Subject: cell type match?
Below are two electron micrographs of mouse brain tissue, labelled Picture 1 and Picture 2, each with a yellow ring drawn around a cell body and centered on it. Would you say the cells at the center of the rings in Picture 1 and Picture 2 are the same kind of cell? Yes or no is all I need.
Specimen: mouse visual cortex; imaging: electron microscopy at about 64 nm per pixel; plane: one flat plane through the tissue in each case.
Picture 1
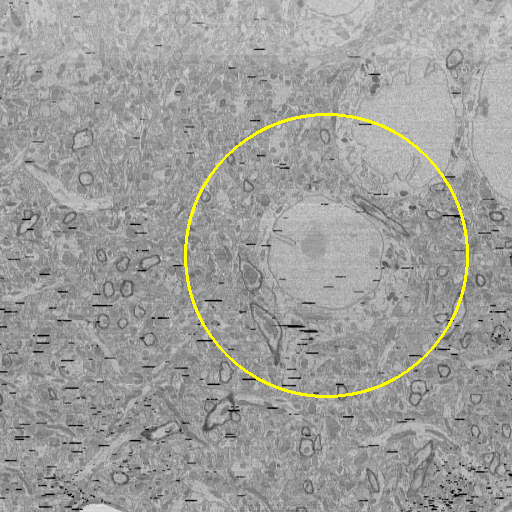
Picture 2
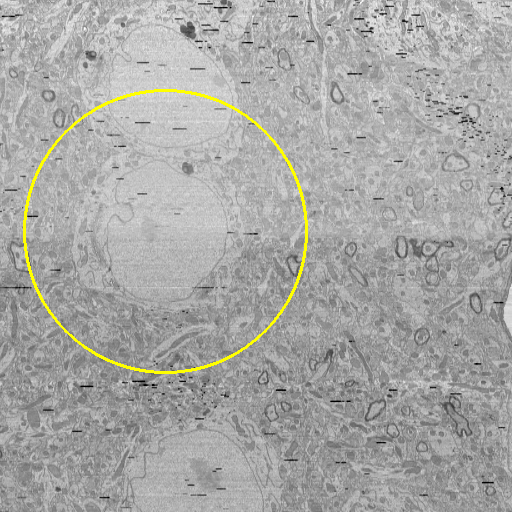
yes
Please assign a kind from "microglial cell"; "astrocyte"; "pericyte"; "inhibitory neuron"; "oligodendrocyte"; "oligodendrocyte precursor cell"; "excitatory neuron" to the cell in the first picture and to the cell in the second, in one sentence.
The ring centre holds an excitatory neuron in each of the two pictures.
